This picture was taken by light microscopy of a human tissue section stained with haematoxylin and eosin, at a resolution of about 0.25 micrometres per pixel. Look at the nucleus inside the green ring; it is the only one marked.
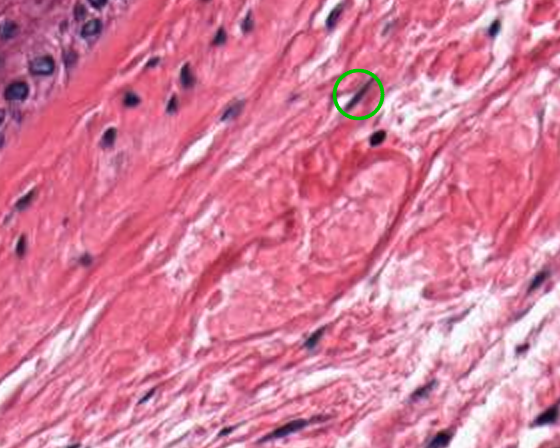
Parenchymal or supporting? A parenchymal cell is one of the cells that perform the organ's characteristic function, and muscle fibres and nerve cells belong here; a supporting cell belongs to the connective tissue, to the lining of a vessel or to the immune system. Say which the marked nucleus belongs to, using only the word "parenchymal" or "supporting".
supporting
